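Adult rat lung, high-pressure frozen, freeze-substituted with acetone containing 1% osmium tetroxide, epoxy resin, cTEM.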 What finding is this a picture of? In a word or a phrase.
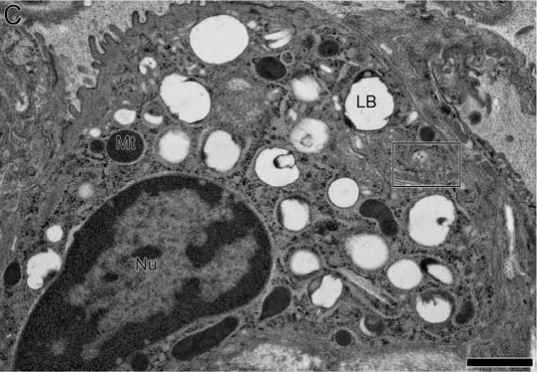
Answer: almost complete loss of the surfactant material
